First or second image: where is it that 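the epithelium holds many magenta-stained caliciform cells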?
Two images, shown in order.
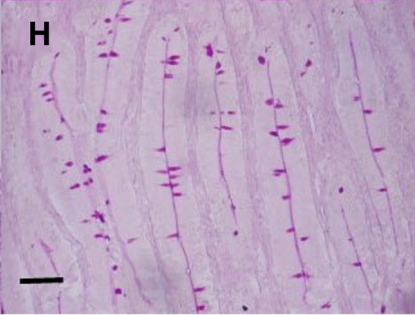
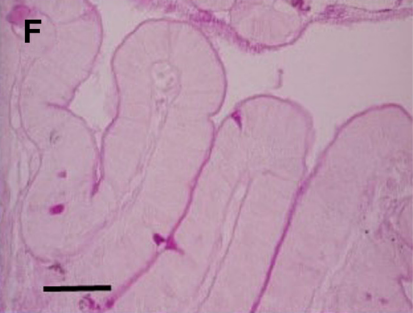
The first image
